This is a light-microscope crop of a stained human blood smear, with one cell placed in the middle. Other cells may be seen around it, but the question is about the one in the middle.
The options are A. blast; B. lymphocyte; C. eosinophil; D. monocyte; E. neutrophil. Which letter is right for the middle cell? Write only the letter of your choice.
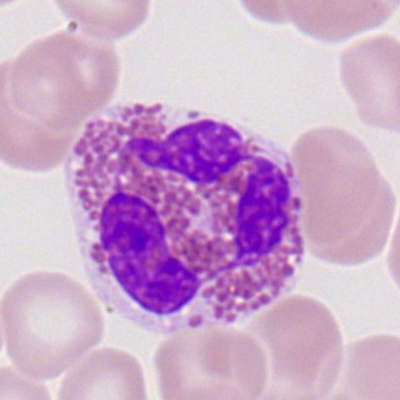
C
